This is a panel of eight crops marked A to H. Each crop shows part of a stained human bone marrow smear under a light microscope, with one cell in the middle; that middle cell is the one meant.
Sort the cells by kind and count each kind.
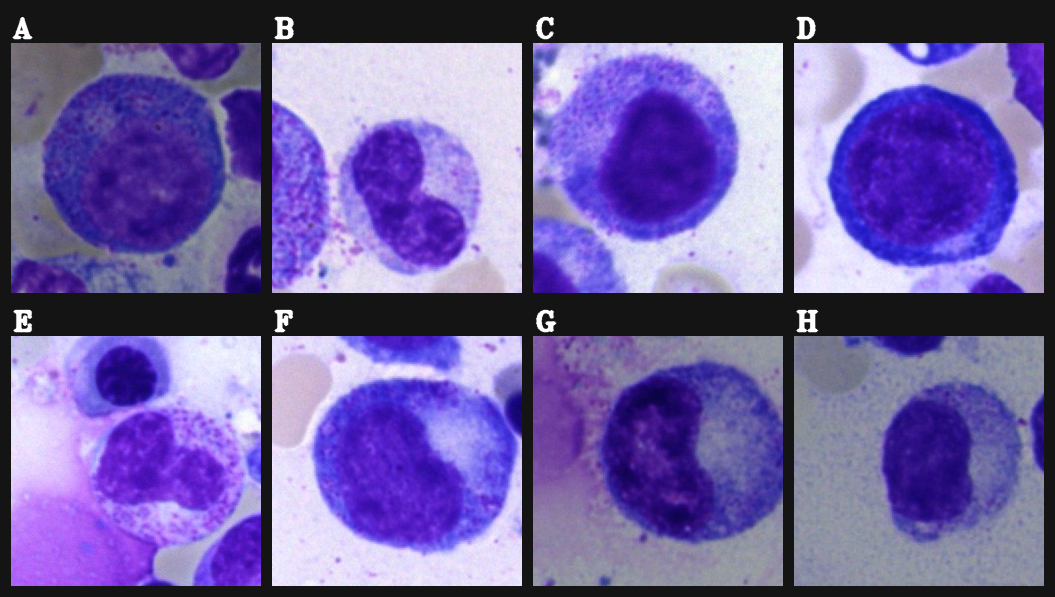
metamyelocyte: 4
promyelocyte: 3
proerythroblast: 1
